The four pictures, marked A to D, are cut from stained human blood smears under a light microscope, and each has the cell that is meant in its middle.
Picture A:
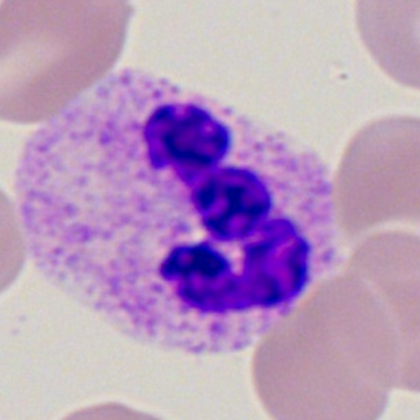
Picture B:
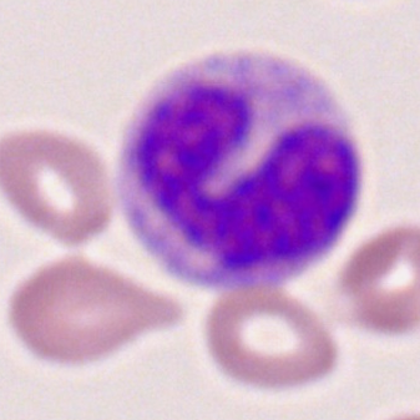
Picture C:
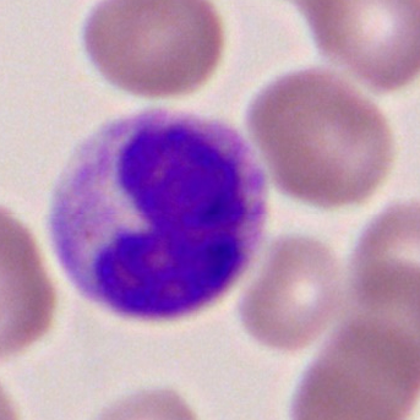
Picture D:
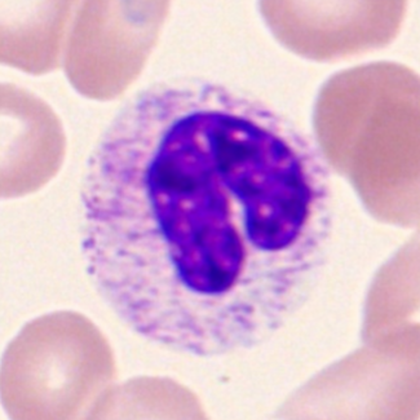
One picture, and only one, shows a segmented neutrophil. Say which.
A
